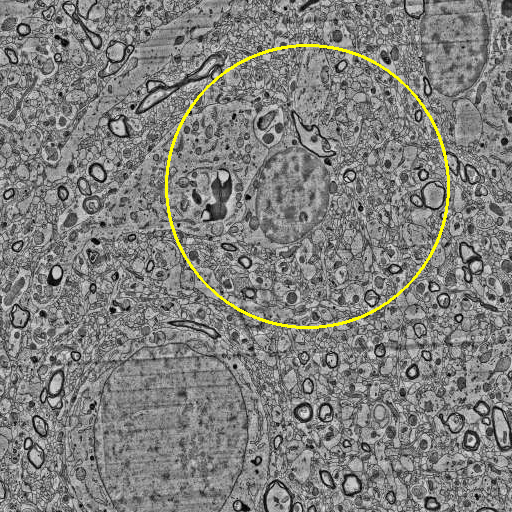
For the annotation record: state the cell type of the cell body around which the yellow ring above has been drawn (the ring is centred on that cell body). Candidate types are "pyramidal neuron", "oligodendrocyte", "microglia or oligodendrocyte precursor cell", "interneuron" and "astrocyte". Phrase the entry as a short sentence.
The ringed cell is an oligodendrocyte.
